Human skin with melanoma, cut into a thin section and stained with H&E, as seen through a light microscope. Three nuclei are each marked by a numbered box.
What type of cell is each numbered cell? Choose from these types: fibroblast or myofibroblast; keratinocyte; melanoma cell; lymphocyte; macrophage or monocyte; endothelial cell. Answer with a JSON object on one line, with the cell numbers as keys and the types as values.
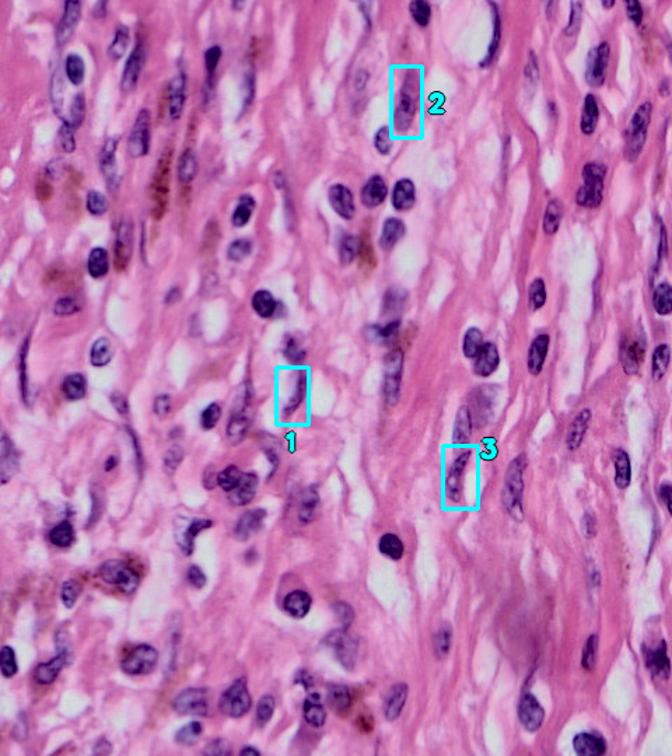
{"1": "fibroblast or myofibroblast", "2": "macrophage or monocyte", "3": "macrophage or monocyte"}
